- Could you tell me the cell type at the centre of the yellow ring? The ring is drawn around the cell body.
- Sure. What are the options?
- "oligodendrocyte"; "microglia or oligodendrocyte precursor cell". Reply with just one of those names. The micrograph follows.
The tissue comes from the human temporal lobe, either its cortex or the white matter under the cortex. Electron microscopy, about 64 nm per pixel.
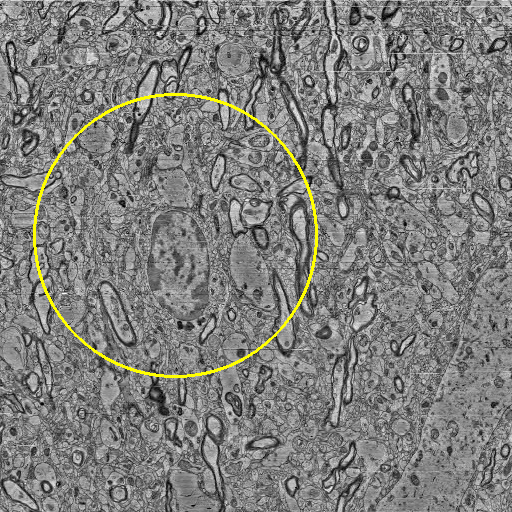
microglia or oligodendrocyte precursor cell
